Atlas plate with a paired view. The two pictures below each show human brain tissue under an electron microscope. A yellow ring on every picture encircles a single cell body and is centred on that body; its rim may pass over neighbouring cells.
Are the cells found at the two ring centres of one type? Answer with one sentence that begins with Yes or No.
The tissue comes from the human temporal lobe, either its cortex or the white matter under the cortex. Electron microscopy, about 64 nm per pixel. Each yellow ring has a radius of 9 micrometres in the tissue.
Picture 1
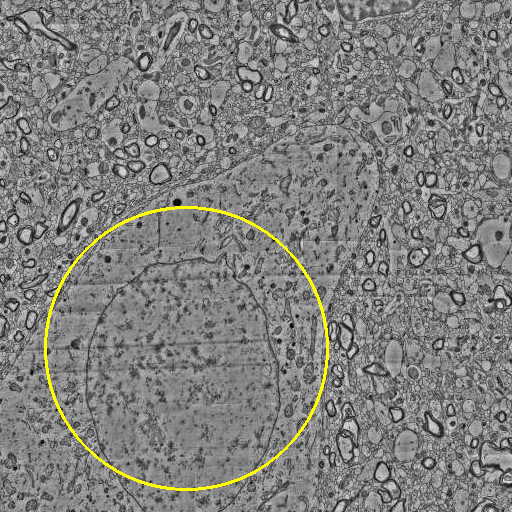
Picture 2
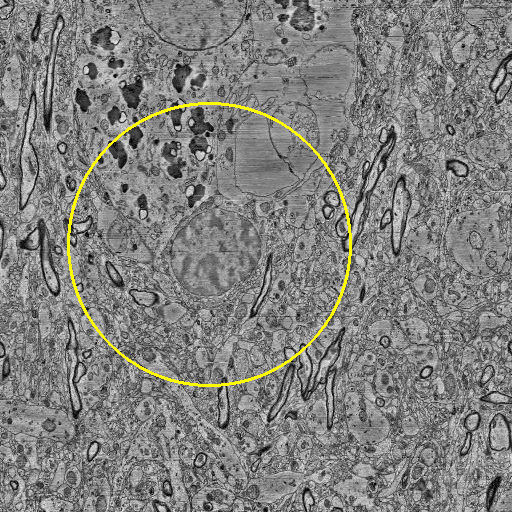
No, the two cells lying at the centres of the rings are of two types.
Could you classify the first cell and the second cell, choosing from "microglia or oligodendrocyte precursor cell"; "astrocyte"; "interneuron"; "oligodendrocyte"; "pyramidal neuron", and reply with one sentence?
The second cell is an oligodendrocyte, while the first is a pyramidal neuron.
